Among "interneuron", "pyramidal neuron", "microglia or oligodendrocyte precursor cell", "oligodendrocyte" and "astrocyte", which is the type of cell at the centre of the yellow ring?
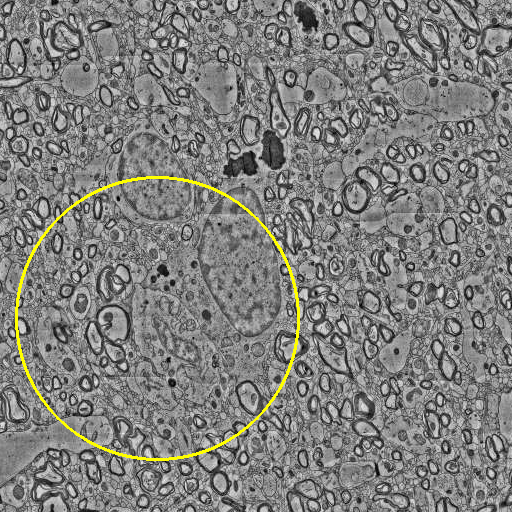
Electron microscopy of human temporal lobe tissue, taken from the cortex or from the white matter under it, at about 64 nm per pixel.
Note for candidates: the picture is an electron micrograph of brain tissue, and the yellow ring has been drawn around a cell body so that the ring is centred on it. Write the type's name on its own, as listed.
interneuron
